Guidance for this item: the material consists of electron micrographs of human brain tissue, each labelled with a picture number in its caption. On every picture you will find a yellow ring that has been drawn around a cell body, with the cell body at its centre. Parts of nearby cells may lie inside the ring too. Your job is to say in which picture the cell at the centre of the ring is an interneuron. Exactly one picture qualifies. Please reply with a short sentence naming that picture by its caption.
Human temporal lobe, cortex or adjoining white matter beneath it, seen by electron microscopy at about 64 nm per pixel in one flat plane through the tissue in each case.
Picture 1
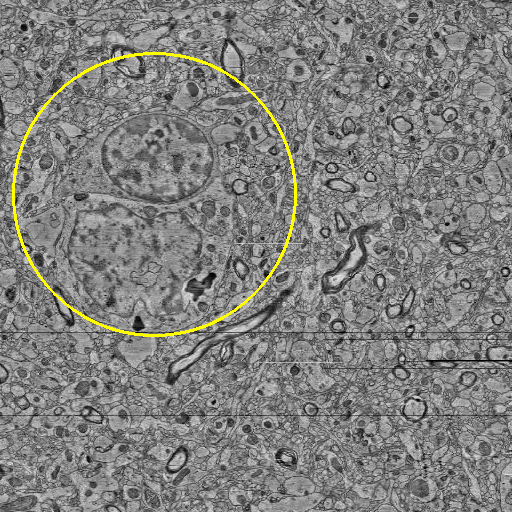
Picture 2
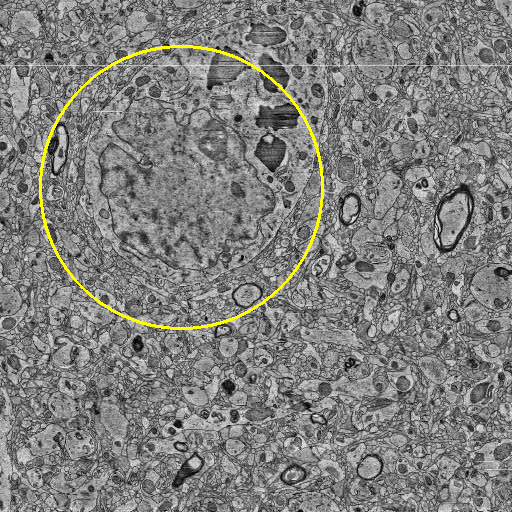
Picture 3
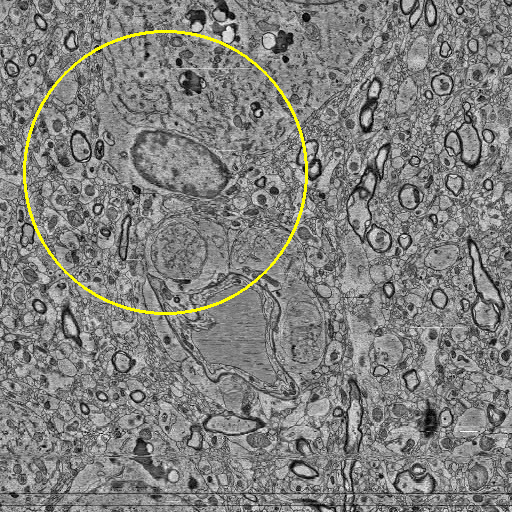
Picture 2 shows it at the centre of the ring.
